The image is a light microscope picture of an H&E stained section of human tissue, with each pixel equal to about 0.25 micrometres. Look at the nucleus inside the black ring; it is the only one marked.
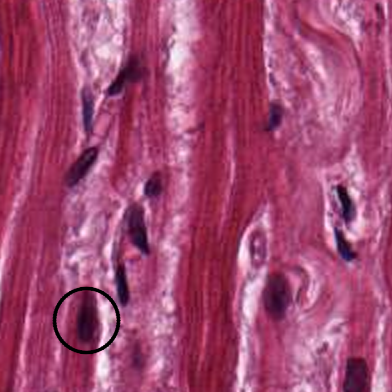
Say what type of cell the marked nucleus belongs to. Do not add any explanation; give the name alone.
cardiomyocyte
